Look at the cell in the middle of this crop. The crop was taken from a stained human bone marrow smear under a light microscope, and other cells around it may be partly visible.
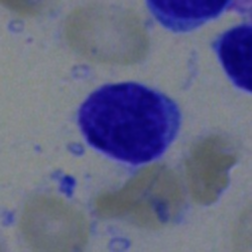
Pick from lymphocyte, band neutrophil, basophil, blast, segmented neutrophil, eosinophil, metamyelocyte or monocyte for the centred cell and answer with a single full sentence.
By classification, the middle cell of this crop is a lymphocyte.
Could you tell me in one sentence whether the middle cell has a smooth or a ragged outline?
Smooth edges only, with no spikes, blebs, or other projections.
